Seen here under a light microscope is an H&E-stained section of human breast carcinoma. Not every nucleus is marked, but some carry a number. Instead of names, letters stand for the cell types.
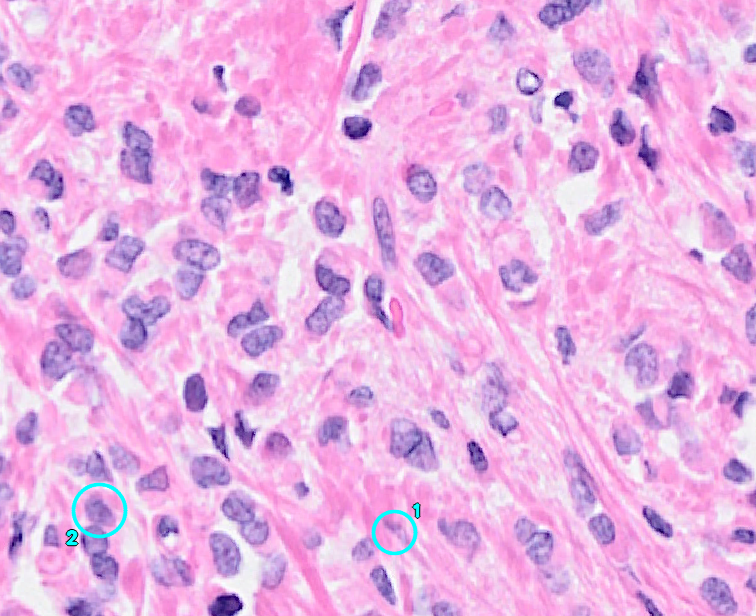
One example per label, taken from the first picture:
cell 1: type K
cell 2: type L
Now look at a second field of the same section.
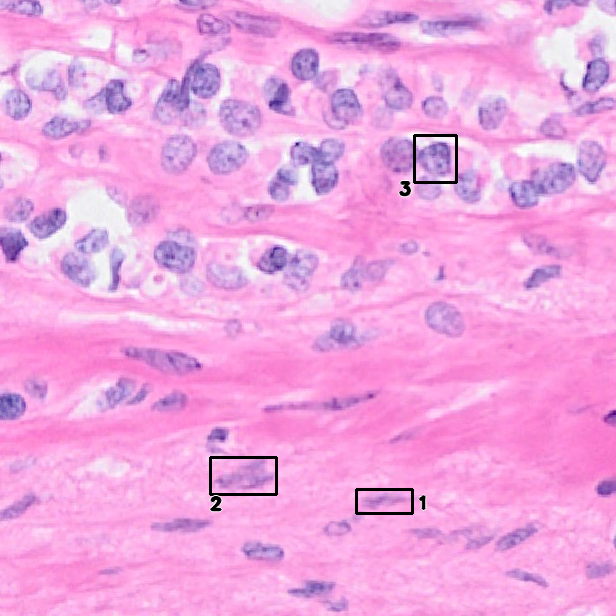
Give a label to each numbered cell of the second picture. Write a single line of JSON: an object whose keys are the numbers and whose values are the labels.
{"1": "type K", "2": "type K", "3": "type L"}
